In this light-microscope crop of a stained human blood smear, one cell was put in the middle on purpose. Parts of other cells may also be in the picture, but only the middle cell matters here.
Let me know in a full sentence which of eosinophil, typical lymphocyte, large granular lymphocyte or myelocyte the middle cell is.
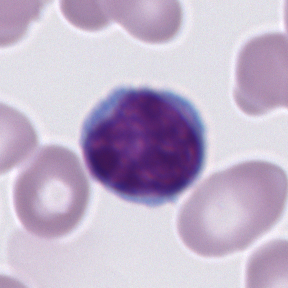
The cell at the heart of this crop is a typical lymphocyte.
